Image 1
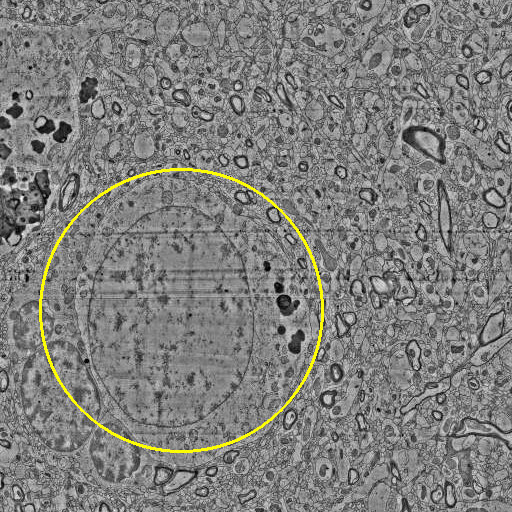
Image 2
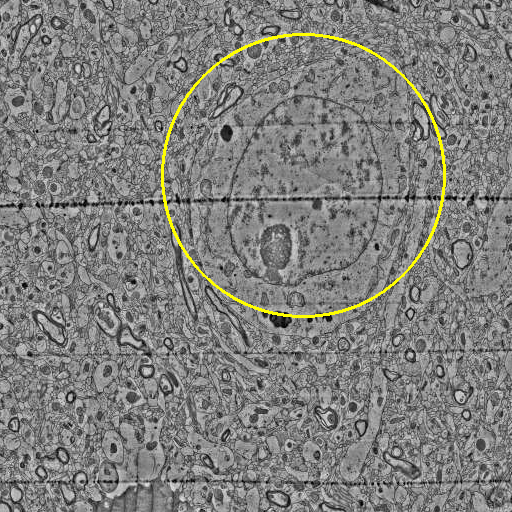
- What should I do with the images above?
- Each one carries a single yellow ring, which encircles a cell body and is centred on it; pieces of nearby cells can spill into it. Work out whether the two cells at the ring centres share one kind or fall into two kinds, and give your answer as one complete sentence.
The ring-centre cells of Image 1 and Image 2 share one kind.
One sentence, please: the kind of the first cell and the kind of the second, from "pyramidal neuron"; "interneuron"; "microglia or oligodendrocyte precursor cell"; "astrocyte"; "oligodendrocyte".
Both pictures show a pyramidal neuron at the centre of the ring.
